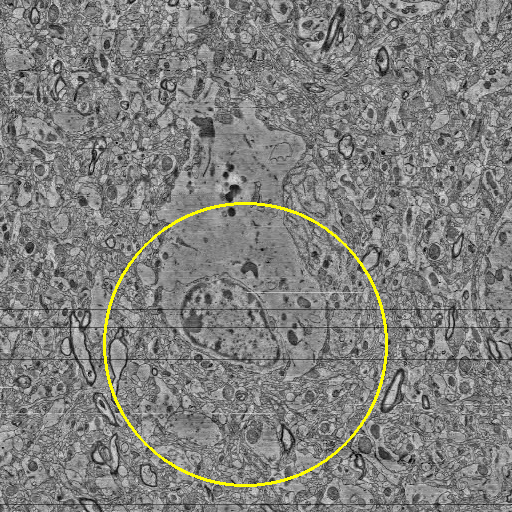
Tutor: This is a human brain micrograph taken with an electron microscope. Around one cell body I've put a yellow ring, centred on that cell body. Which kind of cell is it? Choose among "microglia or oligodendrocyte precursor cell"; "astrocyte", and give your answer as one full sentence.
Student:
Going by your list, the cell centred in the yellow ring is an astrocyte.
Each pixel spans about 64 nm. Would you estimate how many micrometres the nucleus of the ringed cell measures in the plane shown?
About 7 by 5 micrometers for the nucleus, in this plane.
